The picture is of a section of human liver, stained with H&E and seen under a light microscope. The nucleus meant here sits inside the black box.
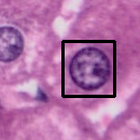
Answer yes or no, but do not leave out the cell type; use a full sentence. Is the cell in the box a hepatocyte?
Yes, the cell in the box is accurately described as a hepatocyte.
